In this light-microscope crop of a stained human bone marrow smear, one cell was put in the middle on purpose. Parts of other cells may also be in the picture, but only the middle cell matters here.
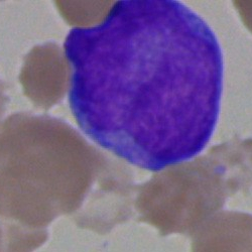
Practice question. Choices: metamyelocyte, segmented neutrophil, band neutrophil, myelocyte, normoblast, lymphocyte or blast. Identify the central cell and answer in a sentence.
The cell that lies at the centre of the crop is a blast.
